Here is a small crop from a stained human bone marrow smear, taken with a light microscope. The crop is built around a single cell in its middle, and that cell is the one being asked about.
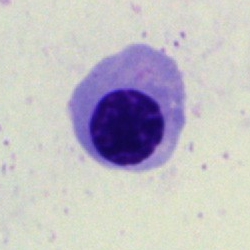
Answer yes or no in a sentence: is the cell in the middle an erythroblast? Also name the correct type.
Yes, it is an erythroblast that occupies the centre of the crop.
